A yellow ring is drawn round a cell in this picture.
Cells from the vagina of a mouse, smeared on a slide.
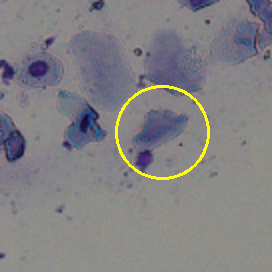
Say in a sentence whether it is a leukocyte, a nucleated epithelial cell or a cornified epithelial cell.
The cell in the ring is a cornified epithelial cell.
